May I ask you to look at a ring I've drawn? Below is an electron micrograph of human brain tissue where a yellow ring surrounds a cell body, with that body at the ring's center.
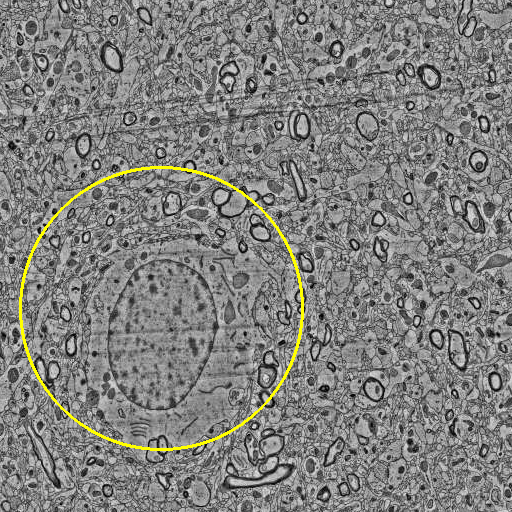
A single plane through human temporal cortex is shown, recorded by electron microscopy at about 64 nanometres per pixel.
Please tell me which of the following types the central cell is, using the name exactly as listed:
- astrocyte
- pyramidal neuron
astrocyte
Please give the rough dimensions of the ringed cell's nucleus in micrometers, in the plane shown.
Roughly 10 by 7 micrometres in this plane, for the nucleus of the ringed cell.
